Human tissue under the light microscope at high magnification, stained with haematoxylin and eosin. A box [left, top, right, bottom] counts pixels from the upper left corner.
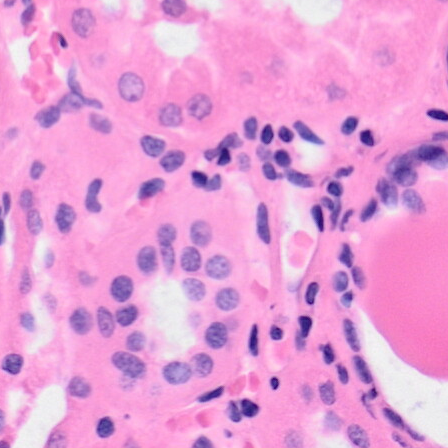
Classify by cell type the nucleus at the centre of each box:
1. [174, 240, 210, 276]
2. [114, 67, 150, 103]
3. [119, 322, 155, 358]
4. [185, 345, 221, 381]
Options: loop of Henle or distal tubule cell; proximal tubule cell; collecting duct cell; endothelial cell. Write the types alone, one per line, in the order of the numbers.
collecting duct cell
proximal tubule cell
collecting duct cell
collecting duct cell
